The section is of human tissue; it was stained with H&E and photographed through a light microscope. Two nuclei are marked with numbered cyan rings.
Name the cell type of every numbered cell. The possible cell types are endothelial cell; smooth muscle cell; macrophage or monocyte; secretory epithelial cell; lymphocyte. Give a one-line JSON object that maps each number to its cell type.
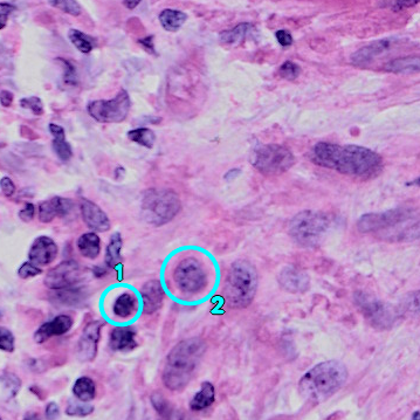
{"1": "lymphocyte", "2": "macrophage or monocyte"}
